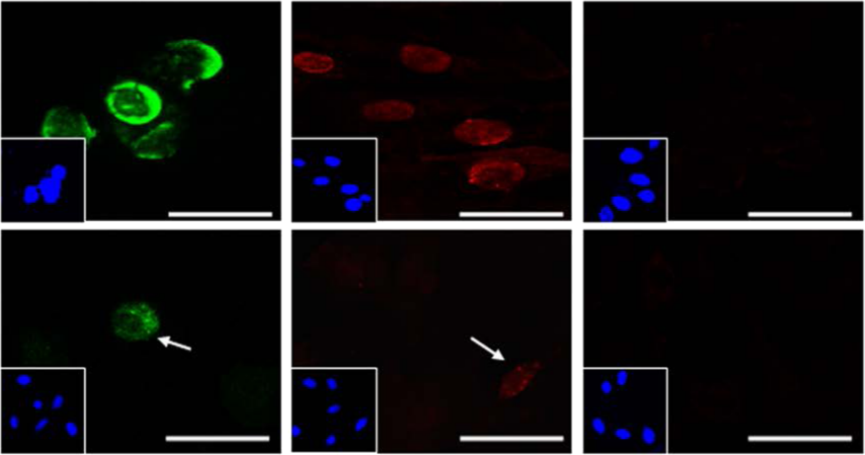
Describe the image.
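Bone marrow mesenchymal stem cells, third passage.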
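In the upper row, the left image shows several rounded cells with a bright green signal concentrated as a ring at the cell periphery and around a central rounded nucleus. The middle image of the upper row shows red fluorescence outlining and filling oval nuclear-shaped profiles in several cells. The right image in each row is almost entirely dark, with no clear fluorescent signal. In the lower row, green and red signals are faint and mostly confined to single cells marked by white arrows, with the other cells barely visible against the background.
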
